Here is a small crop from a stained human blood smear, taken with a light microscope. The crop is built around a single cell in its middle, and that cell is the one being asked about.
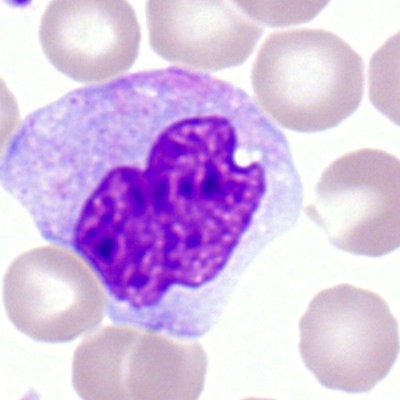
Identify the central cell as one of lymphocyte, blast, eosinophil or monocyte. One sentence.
The cell featured at the centre of this crop is a monocyte.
